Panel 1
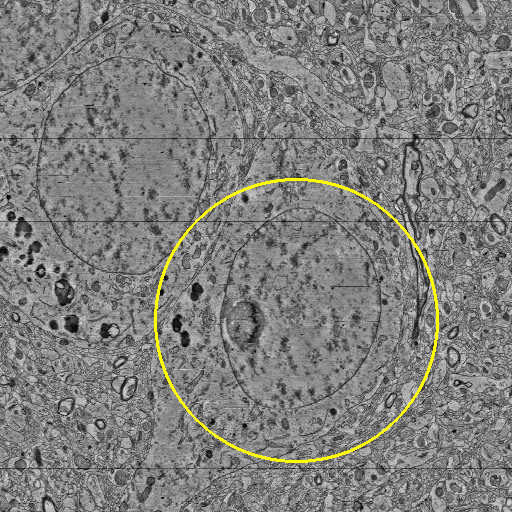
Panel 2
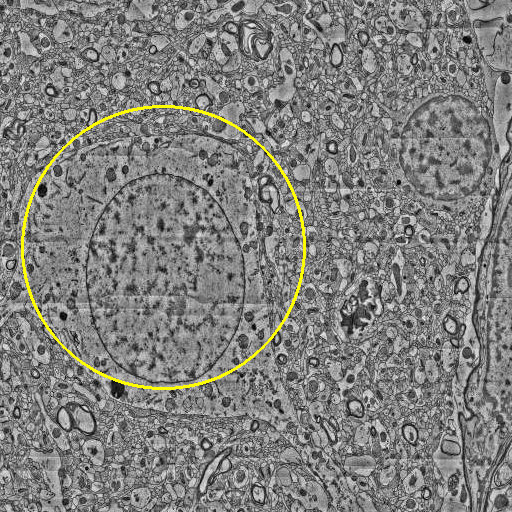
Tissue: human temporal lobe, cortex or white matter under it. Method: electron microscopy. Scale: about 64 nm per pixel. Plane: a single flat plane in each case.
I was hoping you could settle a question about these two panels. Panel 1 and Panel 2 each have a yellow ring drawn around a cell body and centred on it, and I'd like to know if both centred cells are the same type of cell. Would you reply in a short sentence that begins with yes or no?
Yes, both are the same type of cell.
